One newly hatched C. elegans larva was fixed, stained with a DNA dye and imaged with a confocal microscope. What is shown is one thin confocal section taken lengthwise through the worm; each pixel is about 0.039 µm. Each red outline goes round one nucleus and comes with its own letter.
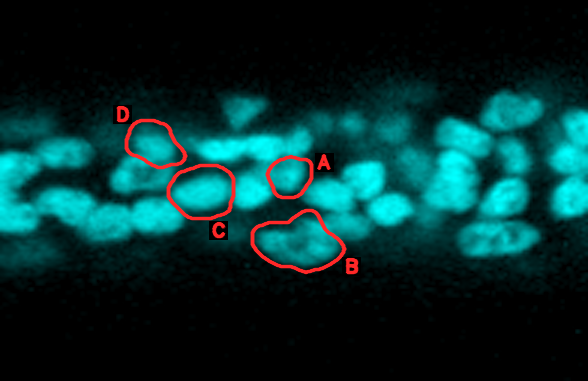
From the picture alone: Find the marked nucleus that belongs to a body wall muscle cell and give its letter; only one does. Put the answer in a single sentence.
B is the nucleus of a body wall muscle cell.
